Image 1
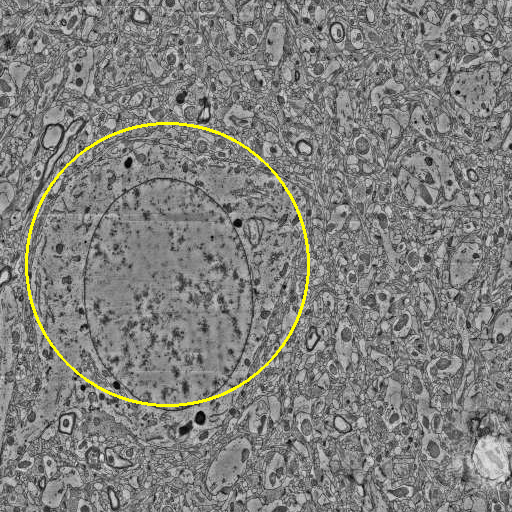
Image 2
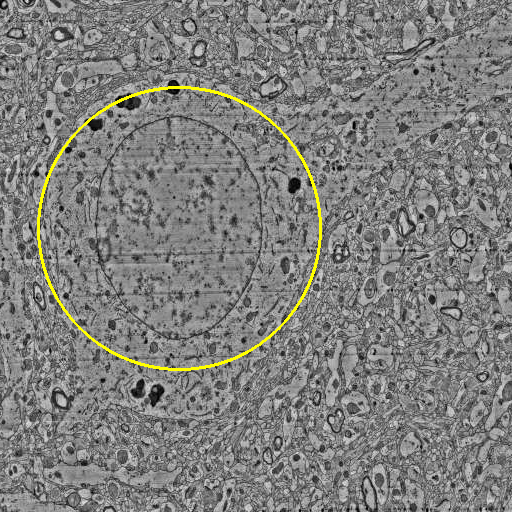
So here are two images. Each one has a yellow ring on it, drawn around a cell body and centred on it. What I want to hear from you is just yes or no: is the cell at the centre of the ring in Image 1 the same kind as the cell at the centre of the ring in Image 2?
yes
